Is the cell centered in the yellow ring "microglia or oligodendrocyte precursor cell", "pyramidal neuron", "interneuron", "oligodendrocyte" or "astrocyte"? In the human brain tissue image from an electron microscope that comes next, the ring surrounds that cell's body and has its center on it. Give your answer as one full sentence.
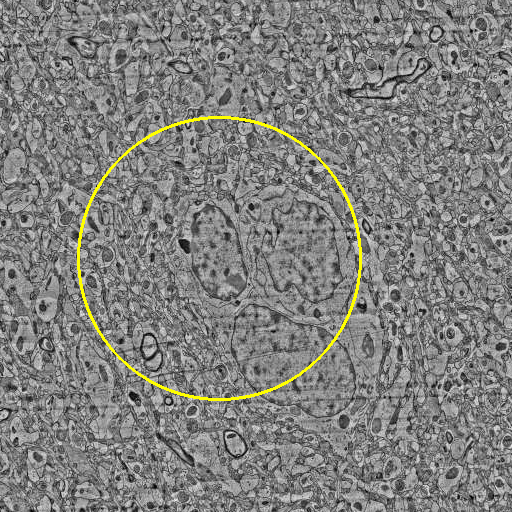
The cell at the center of the yellow ring is a microglial cell or oligodendrocyte precursor cell in the micrograph.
